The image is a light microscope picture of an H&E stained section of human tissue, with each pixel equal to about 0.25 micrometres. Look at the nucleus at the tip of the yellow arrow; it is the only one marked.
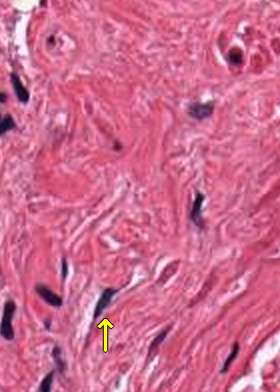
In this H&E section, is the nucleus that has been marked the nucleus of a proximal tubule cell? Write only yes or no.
no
